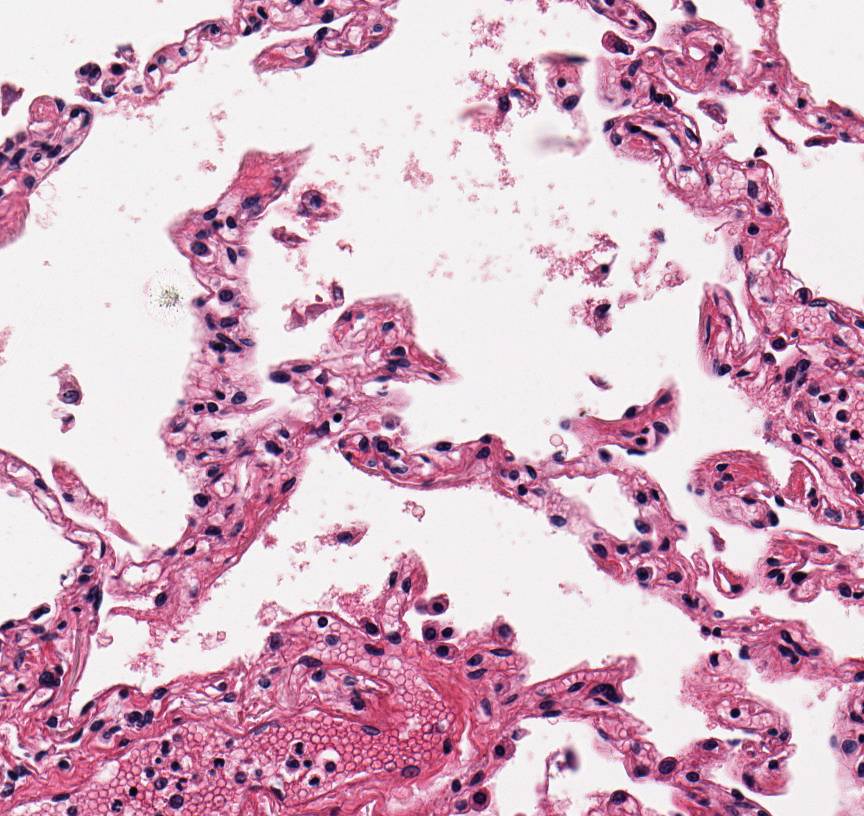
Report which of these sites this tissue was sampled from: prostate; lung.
lung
